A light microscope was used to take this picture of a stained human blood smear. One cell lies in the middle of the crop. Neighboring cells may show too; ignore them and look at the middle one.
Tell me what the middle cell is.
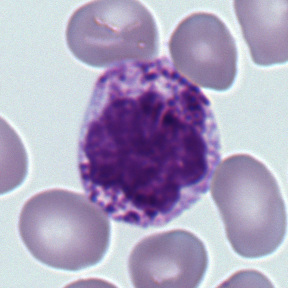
basophil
